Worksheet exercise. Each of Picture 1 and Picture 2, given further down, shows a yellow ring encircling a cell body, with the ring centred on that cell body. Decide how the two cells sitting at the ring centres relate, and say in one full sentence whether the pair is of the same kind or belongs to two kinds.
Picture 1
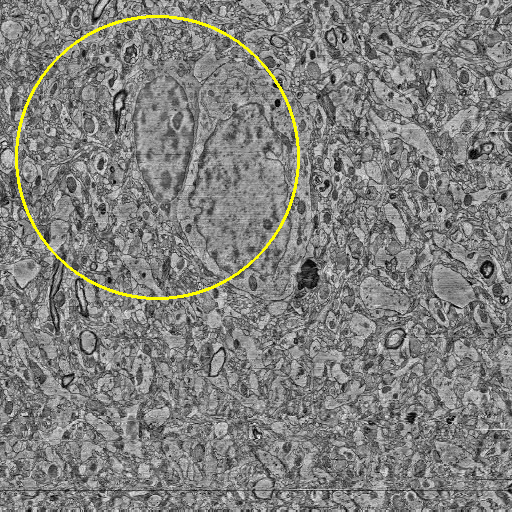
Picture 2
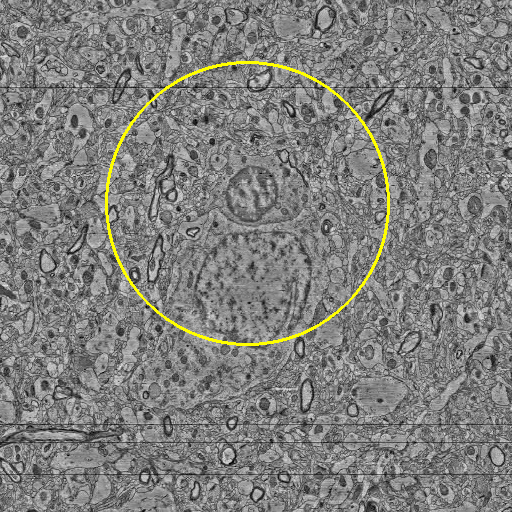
The cells at the ring centres in Picture 1 and Picture 2 are of the same kind.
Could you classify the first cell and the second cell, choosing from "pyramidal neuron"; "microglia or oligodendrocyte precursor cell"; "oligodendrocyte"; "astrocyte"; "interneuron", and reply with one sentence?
The cell at the ring centre is an oligodendrocyte in both pictures.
